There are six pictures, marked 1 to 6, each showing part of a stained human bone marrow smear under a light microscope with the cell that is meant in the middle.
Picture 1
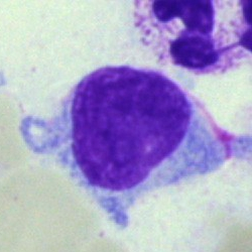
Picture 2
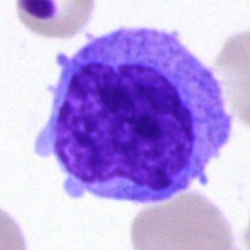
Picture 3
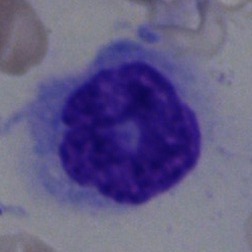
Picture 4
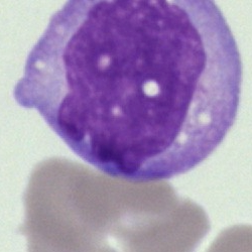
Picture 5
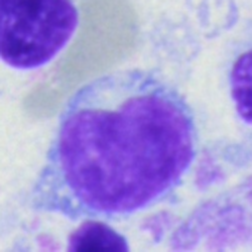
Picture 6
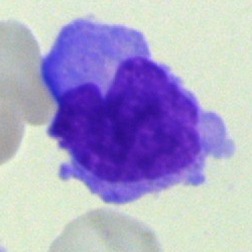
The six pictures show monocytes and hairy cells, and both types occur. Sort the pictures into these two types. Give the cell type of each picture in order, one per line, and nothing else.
hairy cell
monocyte
monocyte
monocyte
hairy cell
monocyte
